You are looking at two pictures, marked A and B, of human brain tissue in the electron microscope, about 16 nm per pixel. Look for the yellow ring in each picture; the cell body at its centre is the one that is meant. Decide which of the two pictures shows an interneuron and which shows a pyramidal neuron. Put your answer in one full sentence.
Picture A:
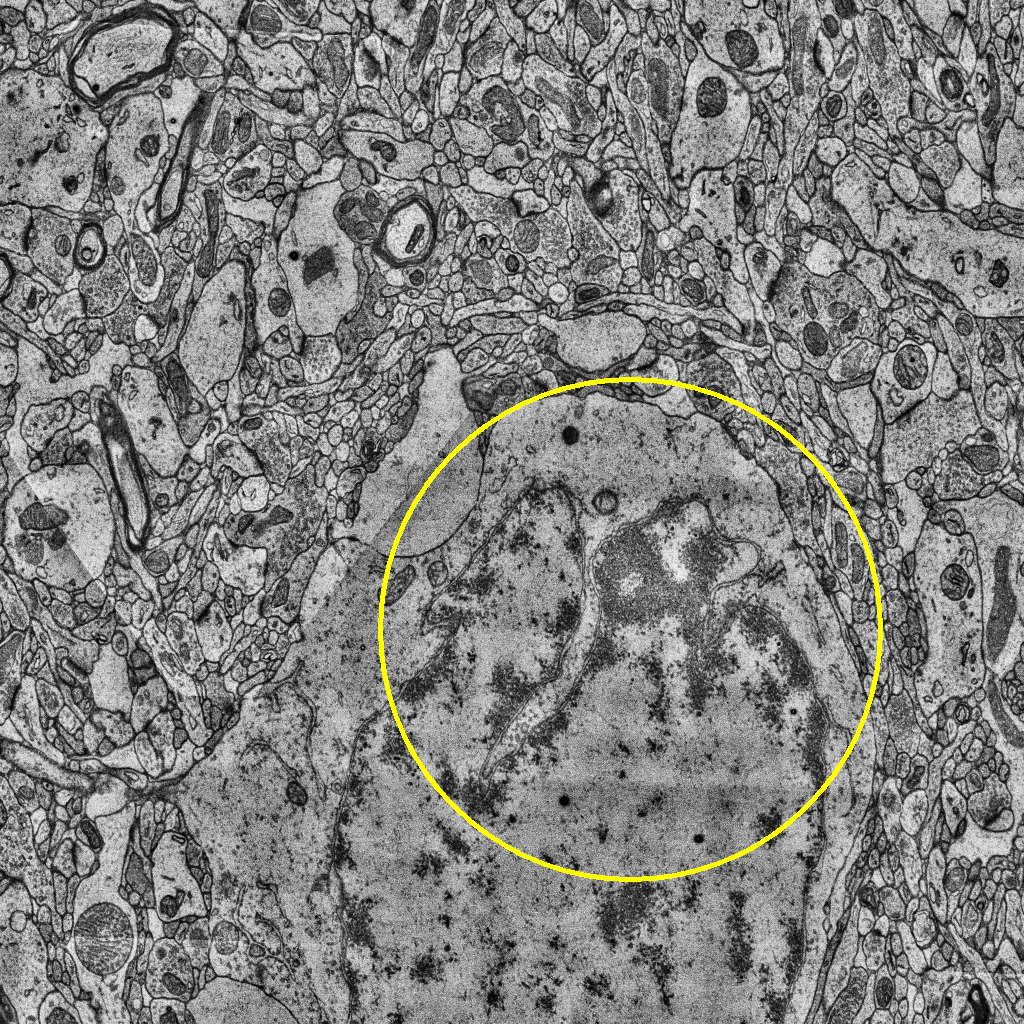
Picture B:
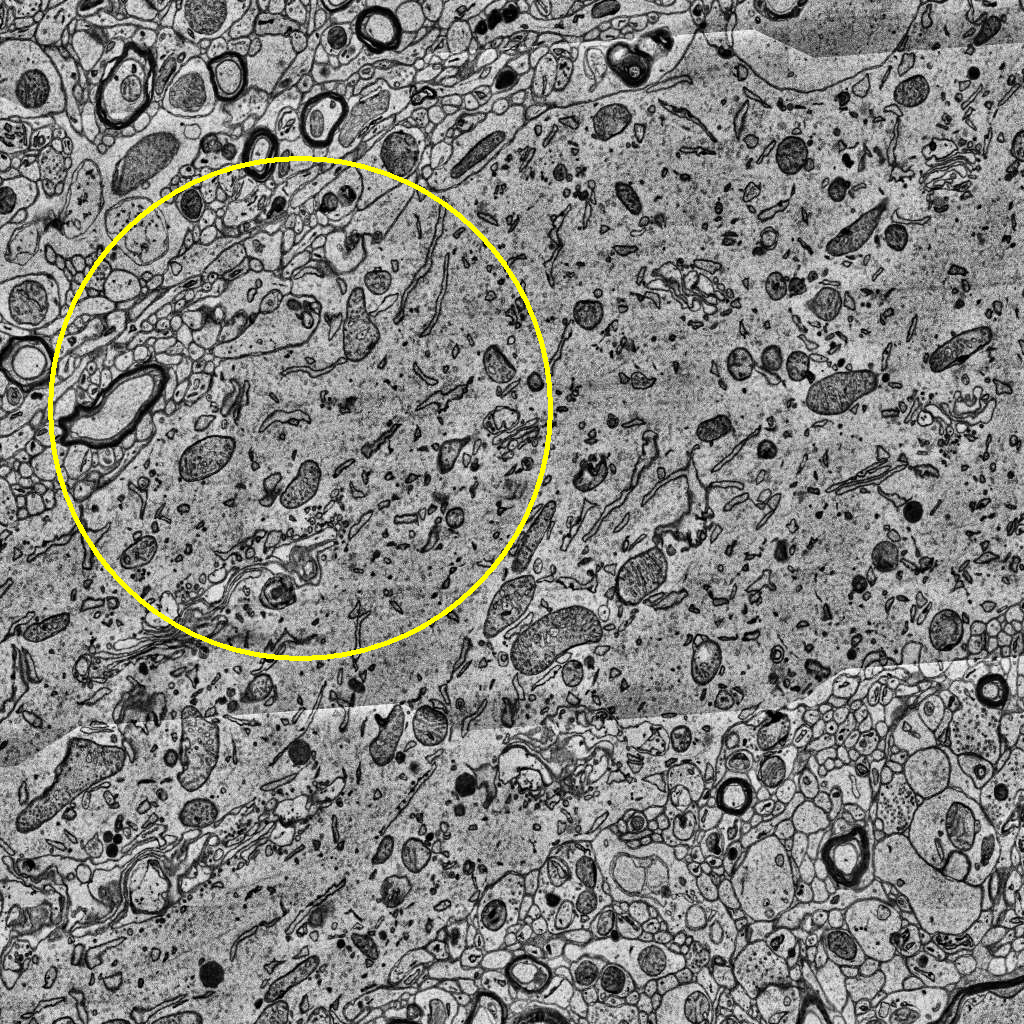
Picture B shows a pyramidal neuron, while picture A shows an interneuron.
